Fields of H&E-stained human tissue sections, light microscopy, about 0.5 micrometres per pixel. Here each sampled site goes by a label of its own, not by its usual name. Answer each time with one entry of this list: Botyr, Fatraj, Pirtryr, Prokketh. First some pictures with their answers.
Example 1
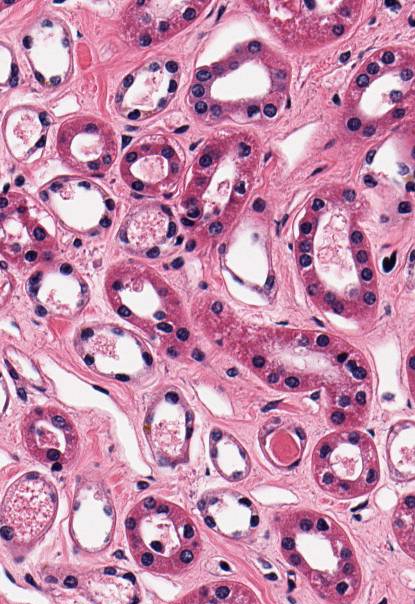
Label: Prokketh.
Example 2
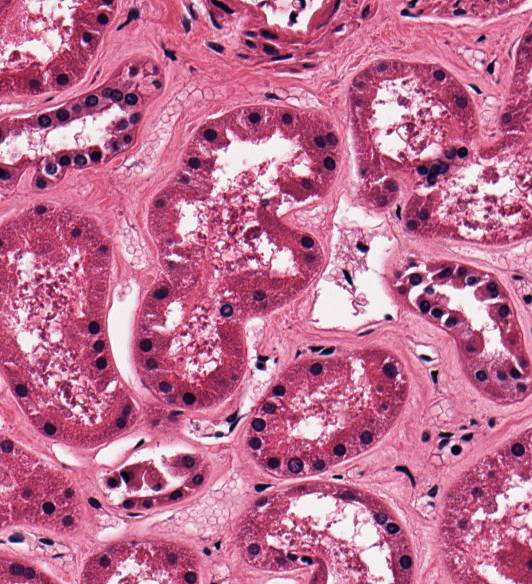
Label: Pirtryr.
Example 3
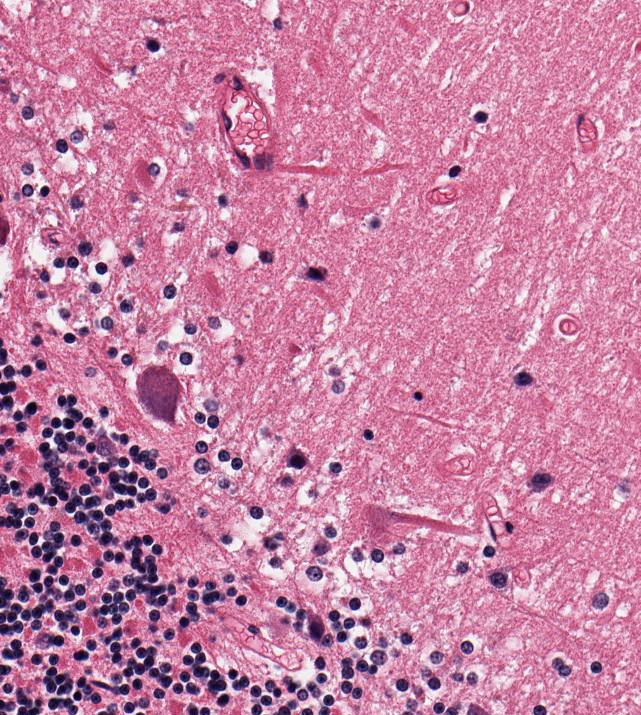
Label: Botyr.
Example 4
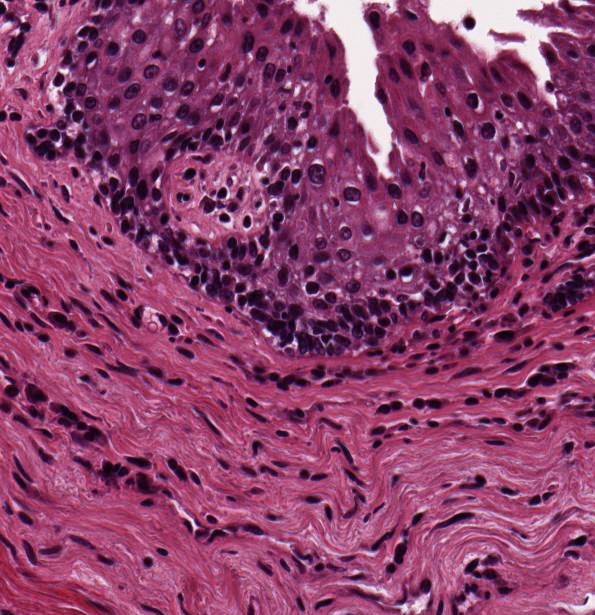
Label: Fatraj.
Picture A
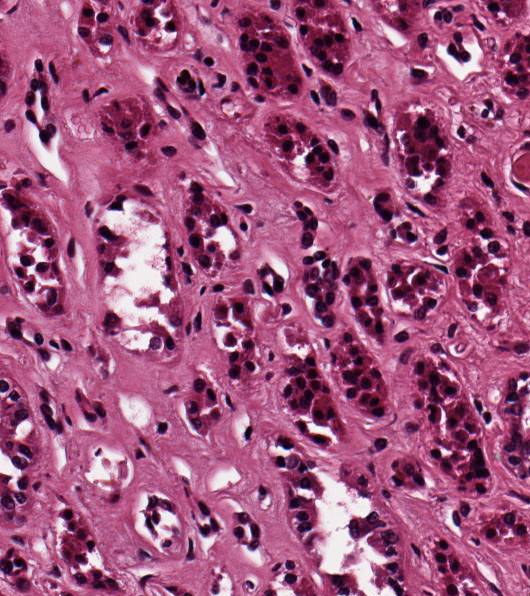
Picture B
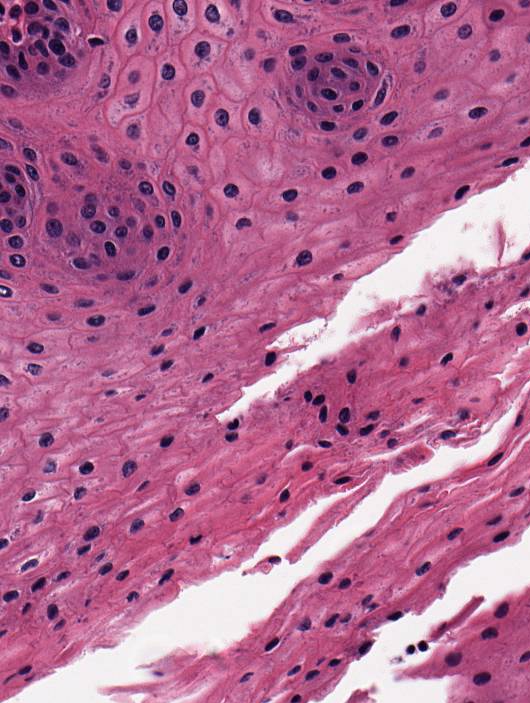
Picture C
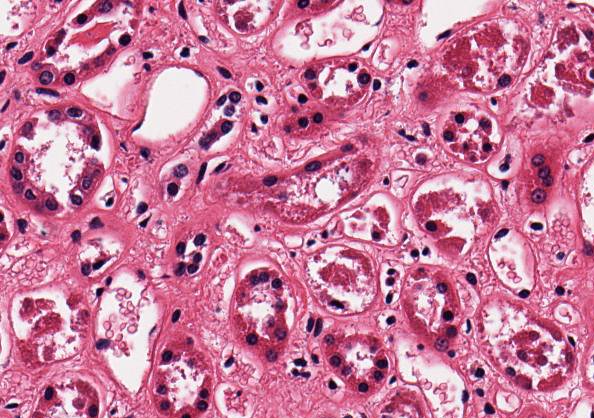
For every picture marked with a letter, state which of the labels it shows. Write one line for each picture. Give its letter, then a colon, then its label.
A: Prokketh.
B: Fatraj.
C: Prokketh.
